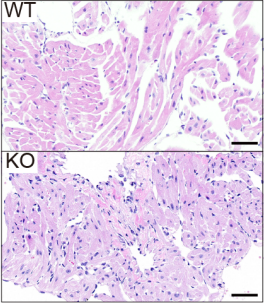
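In the upper image the muscle fibres are elongated pink bands running in roughly parallel bundles, with few, oval nuclei and pale gaps between the bundles. In the lower image the tissue is much more cellular: many small dark nuclei are crowded between the fibres, which no longer run in orderly parallel rows but lie in an irregular, tangled arrangement, with clusters of small cells gathered among them.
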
